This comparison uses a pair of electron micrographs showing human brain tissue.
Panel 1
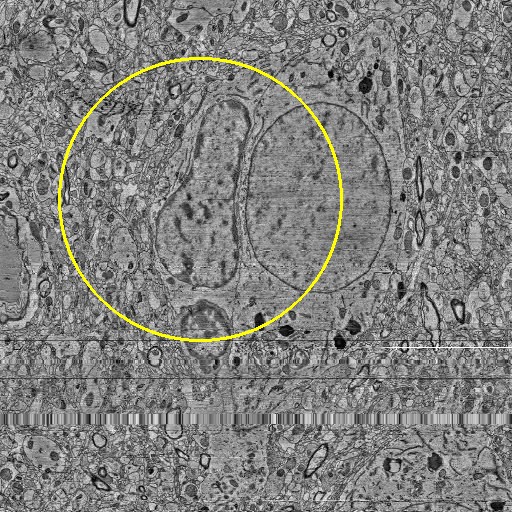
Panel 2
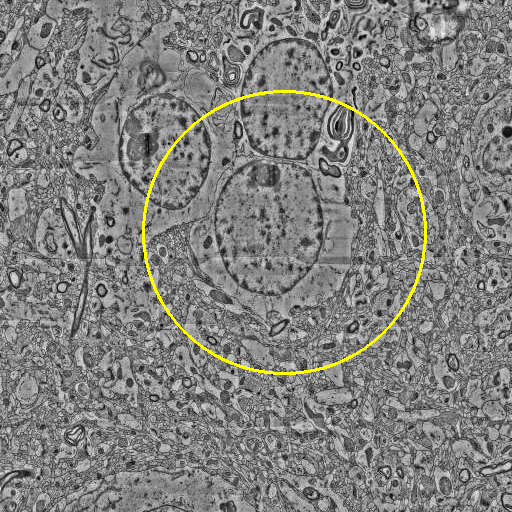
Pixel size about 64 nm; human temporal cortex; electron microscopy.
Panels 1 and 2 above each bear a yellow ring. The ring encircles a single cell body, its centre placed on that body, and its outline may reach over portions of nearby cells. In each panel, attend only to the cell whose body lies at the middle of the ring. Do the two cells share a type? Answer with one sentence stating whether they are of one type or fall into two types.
In Panel 1 and Panel 2, the cells at the centres of the rings fall into two types.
